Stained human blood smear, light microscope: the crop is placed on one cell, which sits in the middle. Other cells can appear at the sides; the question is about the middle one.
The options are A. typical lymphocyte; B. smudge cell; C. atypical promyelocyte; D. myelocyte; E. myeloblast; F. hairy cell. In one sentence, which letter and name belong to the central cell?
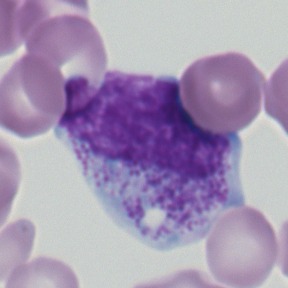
The cell in the centre of the crop is a myelocyte, so option D is the correct one.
